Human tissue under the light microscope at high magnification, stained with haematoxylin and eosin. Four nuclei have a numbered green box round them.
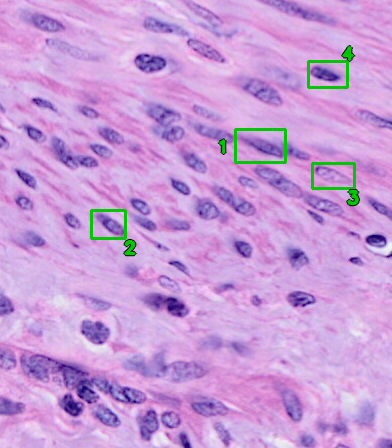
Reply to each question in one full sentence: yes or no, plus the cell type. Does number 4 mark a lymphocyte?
Yes, that is right: the cell labelled 4 is a lymphocyte.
